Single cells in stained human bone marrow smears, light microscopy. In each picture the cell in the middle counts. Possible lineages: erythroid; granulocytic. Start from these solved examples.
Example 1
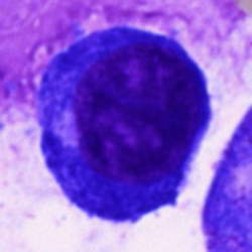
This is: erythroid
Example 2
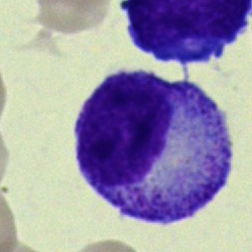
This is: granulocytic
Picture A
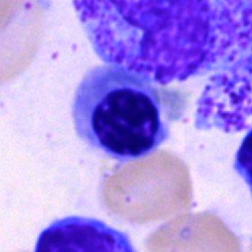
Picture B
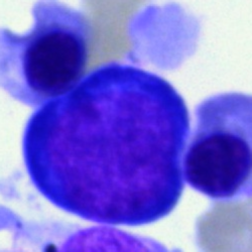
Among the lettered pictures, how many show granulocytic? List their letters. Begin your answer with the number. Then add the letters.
0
